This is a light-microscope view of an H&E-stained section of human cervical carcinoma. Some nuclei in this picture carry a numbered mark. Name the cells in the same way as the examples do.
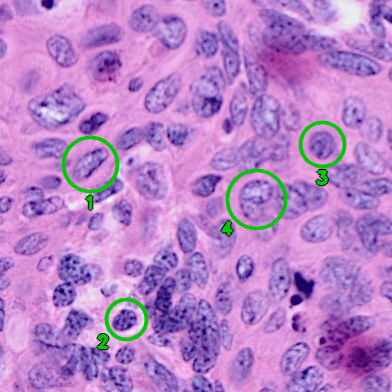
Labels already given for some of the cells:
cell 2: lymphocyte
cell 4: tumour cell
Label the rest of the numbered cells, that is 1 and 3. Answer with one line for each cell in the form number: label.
1: tumour cell
3: tumour cell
